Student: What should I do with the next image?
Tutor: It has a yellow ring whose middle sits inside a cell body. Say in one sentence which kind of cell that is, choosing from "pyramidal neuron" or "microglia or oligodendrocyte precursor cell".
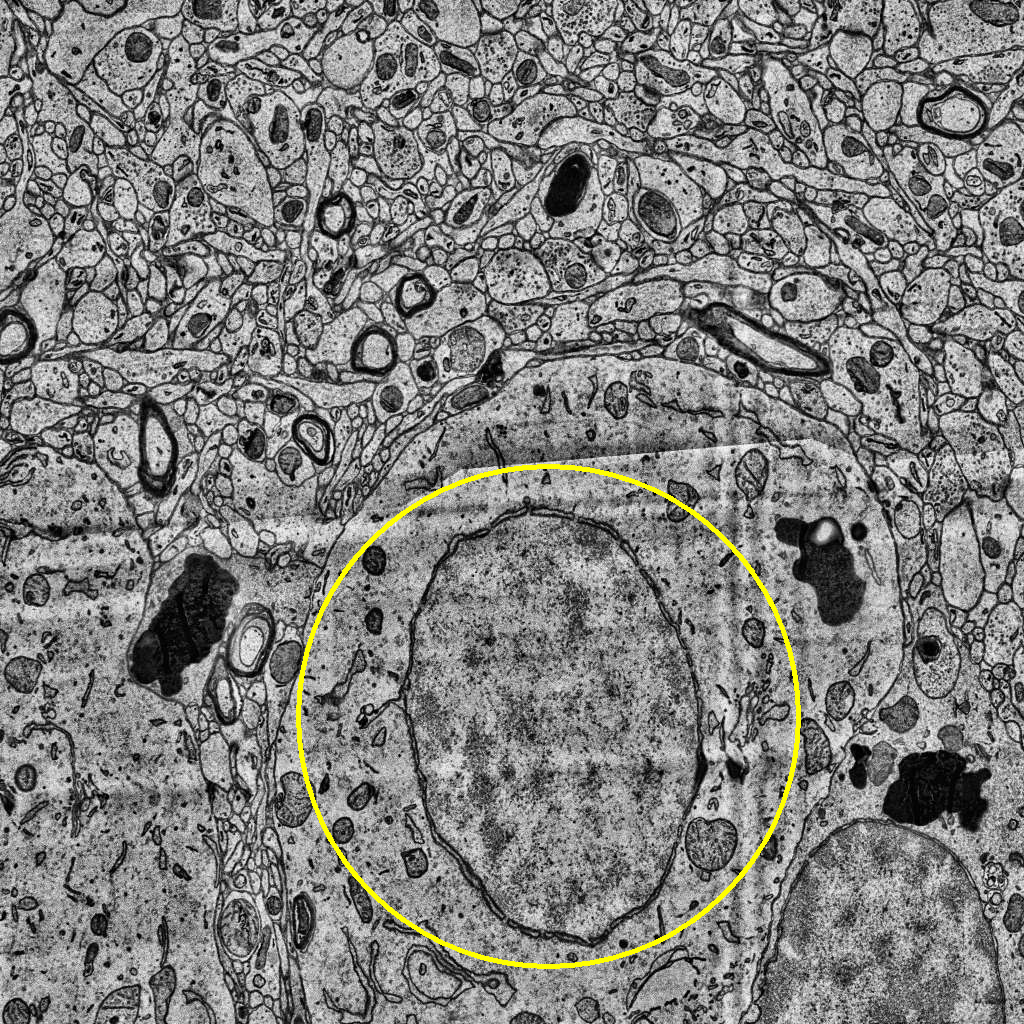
The ring's centre is occupied by a pyramidal neuron.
